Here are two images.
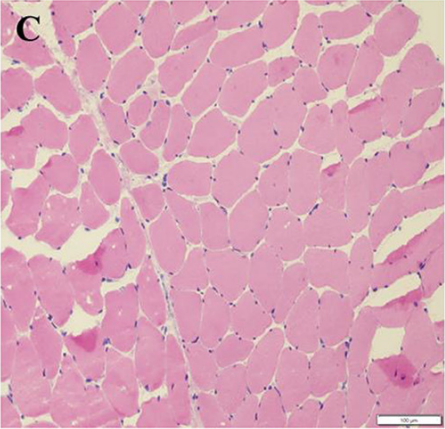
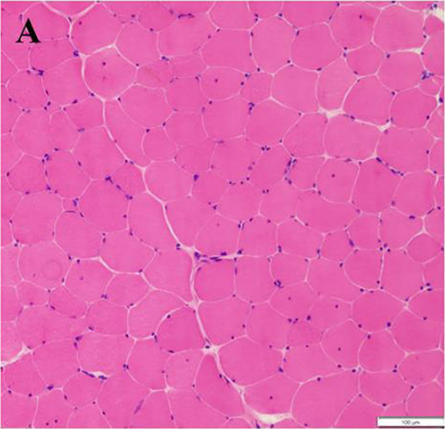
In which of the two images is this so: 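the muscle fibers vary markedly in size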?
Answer: the first image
